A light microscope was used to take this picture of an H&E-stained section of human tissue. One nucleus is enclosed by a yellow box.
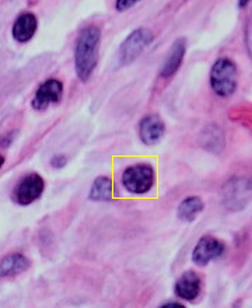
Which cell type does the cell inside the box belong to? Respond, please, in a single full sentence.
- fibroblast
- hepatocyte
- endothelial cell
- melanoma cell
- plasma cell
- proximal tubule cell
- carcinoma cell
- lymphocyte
Among the cells in this section, the cell inside the box is a lymphocyte.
